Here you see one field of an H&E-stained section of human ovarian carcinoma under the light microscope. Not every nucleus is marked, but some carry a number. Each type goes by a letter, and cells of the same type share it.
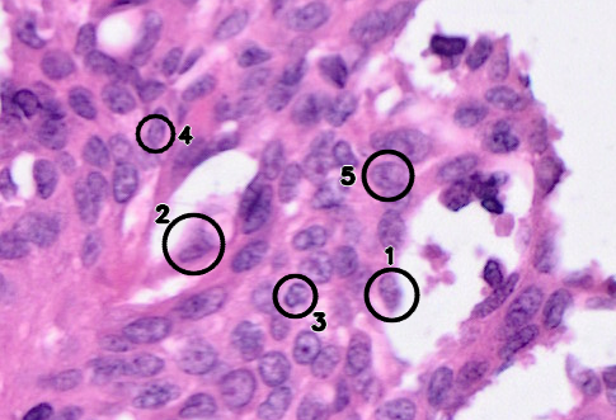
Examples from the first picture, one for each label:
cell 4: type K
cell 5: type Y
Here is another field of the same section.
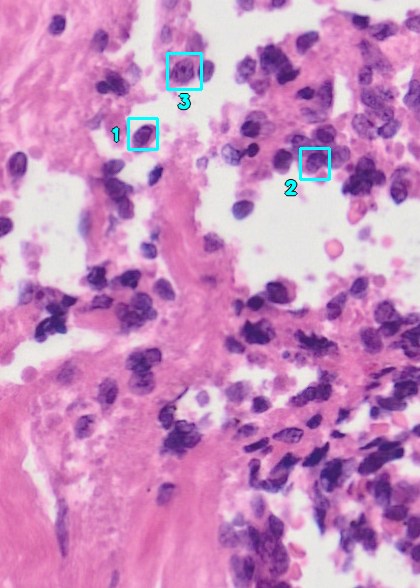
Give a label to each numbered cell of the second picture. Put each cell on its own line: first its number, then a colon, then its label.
1: type Y
2: type Y
3: type K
